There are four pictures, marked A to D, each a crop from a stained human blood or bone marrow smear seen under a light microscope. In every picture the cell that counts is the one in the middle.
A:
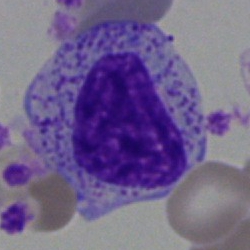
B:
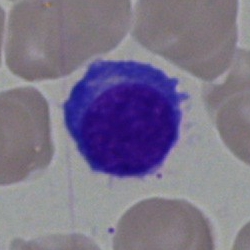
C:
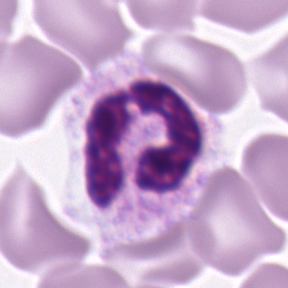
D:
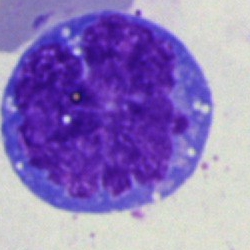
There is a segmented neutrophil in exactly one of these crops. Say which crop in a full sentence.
On review of the set, crop C is the one showing a segmented neutrophil.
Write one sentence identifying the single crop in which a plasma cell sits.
Among these crops, crop B holds a plasma cell.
